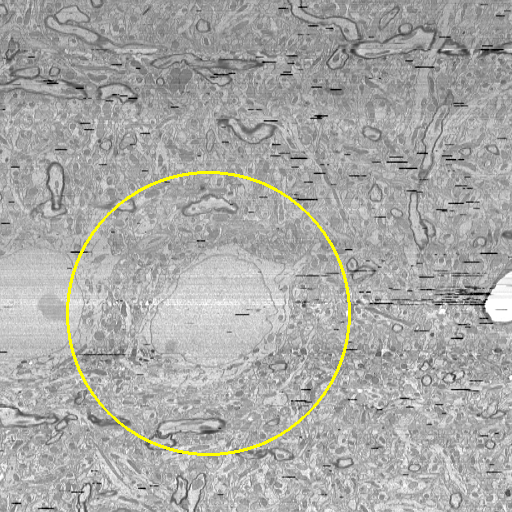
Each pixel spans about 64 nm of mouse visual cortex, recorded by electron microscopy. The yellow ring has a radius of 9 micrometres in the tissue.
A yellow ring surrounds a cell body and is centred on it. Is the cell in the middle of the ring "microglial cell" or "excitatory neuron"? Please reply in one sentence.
The ring is centred on an excitatory neuron.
